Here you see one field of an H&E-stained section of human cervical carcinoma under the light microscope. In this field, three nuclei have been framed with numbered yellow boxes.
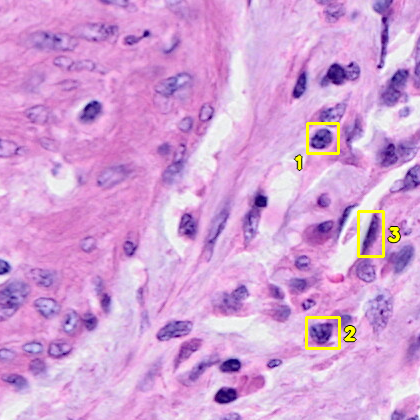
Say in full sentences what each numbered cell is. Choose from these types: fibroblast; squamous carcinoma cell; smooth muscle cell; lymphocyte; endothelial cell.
Cells 1 and 2 are lymphocytes. Cell 3 is an endothelial cell.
